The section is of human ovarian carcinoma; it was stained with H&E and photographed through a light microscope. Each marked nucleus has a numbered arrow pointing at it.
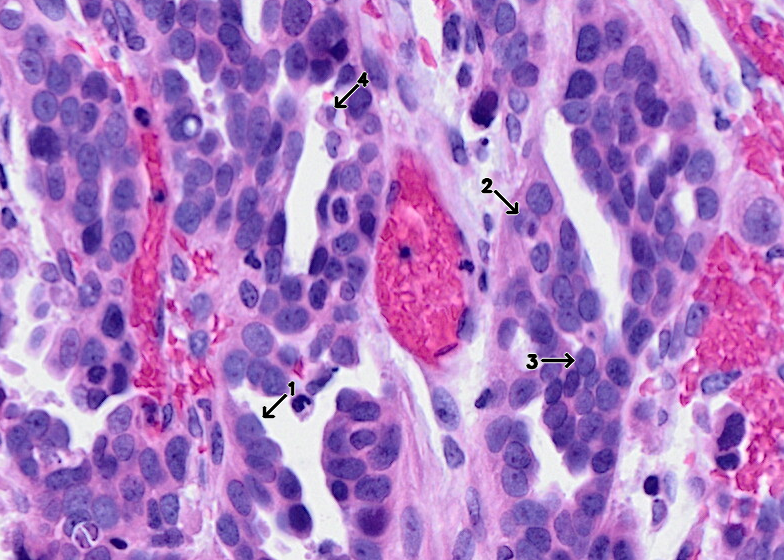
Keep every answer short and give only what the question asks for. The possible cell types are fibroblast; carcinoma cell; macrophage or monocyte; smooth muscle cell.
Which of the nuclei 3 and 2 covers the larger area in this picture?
2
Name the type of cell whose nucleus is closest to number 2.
carcinoma cell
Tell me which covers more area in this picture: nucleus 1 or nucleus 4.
1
